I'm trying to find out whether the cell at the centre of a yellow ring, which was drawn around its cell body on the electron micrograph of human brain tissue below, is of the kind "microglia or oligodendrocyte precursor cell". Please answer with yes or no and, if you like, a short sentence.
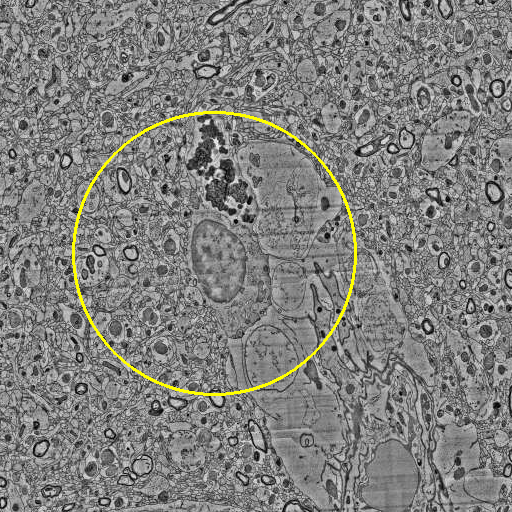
No, that cell is of another kind.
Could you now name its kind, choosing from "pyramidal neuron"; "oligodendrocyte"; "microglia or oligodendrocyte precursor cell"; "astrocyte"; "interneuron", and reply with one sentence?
Instead, the cell at the centre of the ring is an oligodendrocyte.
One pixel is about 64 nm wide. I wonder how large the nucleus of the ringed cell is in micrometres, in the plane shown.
At approximately 5 by 3 micrometres, the nucleus is clearly longer than it is wide in this plane.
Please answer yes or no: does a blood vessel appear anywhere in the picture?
Yes, one appears.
